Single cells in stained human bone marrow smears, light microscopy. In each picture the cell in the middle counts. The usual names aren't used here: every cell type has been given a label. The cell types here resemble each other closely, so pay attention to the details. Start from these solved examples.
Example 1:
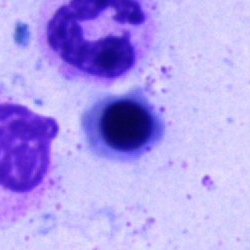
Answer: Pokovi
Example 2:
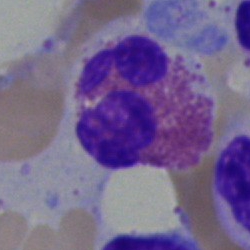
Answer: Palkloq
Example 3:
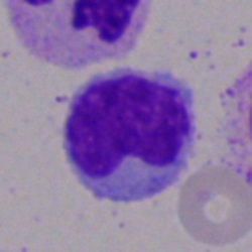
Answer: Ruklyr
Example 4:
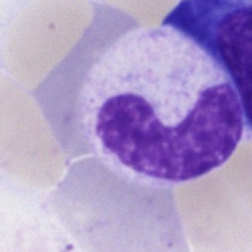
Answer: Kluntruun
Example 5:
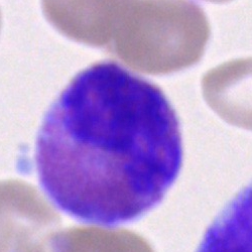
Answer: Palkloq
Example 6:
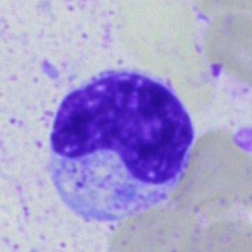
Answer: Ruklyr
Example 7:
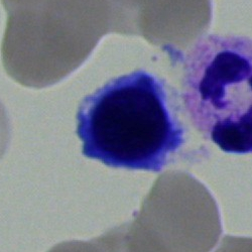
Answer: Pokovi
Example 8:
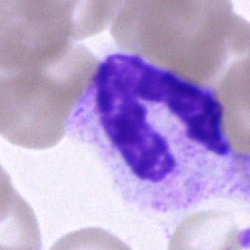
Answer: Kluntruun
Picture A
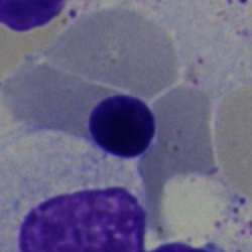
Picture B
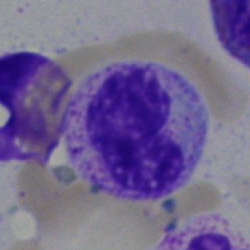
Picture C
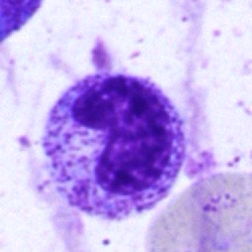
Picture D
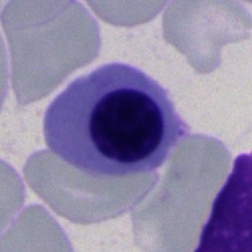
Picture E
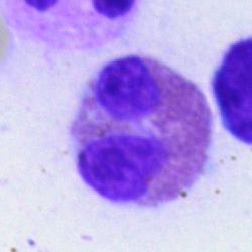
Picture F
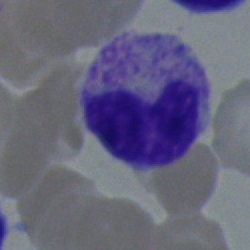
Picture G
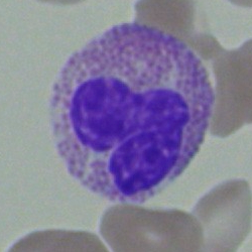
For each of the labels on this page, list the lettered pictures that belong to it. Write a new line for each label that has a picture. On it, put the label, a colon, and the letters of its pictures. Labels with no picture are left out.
Pokovi: A, D
Palkloq: E, G
Ruklyr: B, C, F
